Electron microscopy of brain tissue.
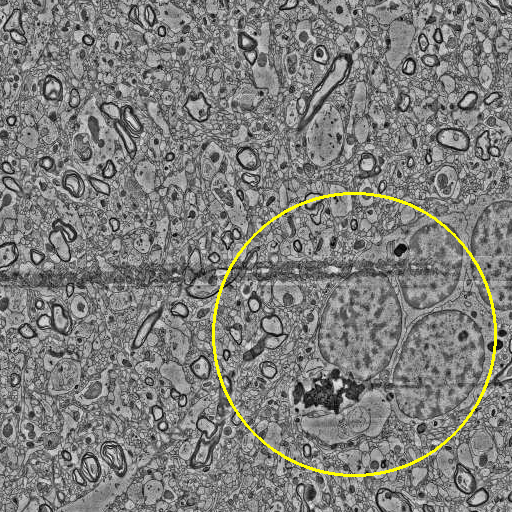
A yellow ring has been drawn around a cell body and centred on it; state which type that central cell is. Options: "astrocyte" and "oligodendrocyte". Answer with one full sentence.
The cell at the middle of the yellow ring is an oligodendrocyte in this picture.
